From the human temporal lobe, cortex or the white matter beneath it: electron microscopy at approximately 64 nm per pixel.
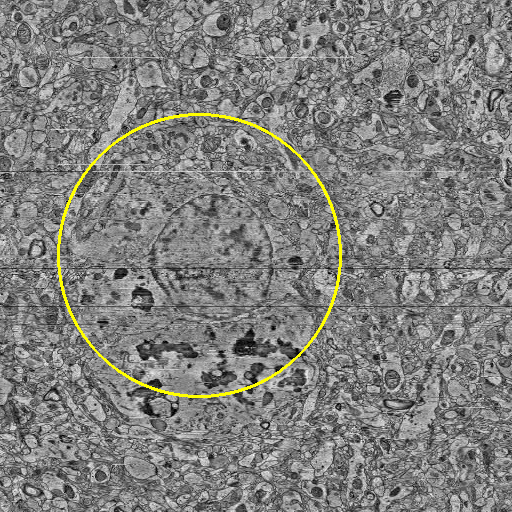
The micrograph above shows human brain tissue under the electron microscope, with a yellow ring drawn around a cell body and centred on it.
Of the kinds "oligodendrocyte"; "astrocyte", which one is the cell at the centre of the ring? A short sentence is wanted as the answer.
The one at the centre of the ring is an astrocyte.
